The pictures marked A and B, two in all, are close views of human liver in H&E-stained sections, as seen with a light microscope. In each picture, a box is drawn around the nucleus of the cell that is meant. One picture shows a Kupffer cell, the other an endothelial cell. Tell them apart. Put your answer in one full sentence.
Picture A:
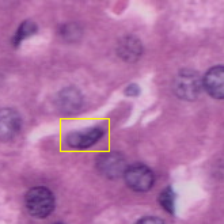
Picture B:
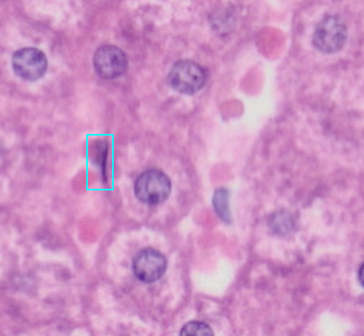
In picture A the cell is a Kupffer cell; in picture B, an endothelial cell.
